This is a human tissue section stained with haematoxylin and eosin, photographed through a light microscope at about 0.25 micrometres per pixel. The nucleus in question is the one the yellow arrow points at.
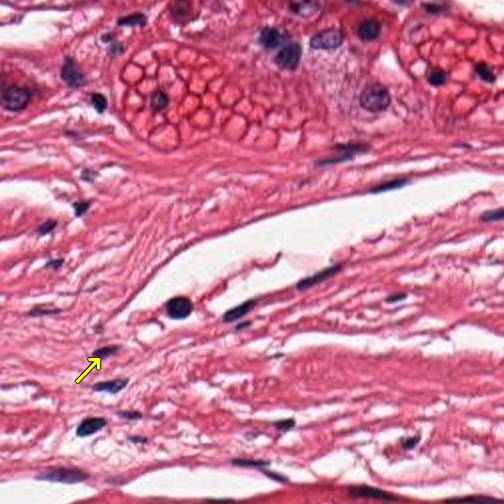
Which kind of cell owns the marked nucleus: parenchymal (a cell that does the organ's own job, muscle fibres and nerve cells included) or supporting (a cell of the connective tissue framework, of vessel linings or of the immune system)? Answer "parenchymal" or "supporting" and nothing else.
supporting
